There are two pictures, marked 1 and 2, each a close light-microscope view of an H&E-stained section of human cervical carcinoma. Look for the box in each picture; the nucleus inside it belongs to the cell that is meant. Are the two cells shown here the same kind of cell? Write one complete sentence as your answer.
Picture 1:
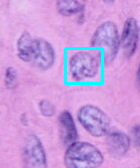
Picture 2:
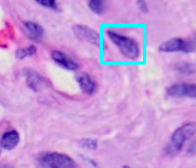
No. Picture 1 shows a squamous carcinoma cell, but picture 2 shows a fibroblast.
